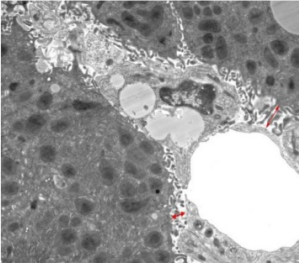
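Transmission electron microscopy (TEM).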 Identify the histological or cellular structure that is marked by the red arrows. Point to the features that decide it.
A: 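The red arrows span a narrow gap between the thin lining of a large pale lumen and the surrounding cells with dense cytoplasm. The gap holds small irregular projections.
Answer: space of Disse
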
